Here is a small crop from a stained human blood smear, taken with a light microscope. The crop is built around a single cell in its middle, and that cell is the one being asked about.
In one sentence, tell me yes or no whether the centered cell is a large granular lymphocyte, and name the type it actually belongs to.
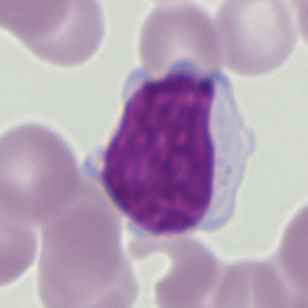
Yes, the cell at the middle of the field is to be classed as a large granular lymphocyte.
